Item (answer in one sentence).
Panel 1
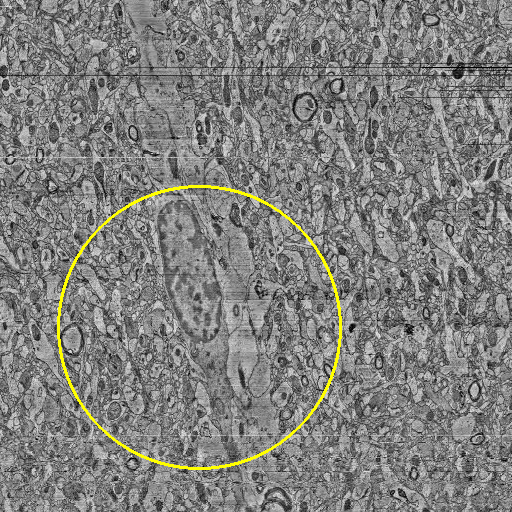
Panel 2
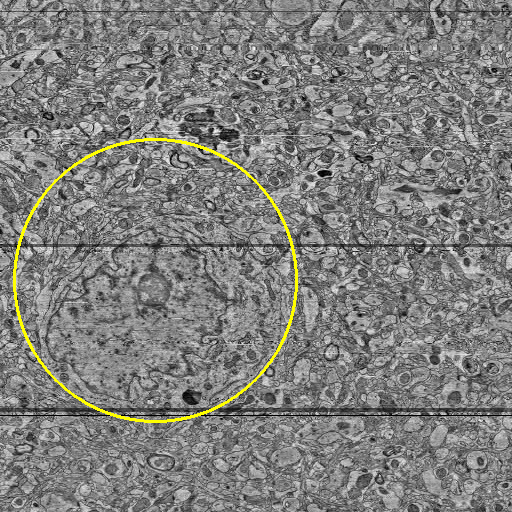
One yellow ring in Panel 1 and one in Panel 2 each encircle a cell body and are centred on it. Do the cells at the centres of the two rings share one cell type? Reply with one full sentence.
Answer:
No, Panel 1 and Panel 2 show cells of two types at the centres of their rings.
